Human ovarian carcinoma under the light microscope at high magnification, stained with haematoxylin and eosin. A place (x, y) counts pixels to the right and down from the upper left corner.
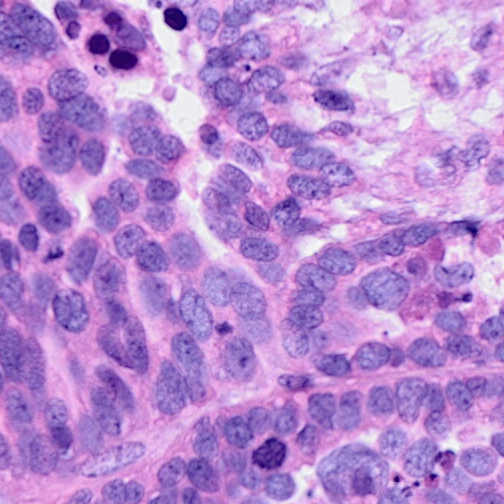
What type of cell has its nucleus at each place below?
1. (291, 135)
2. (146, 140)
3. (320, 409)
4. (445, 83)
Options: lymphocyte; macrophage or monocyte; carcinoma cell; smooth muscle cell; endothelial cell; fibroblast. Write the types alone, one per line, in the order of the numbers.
carcinoma cell
carcinoma cell
carcinoma cell
fibroblast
